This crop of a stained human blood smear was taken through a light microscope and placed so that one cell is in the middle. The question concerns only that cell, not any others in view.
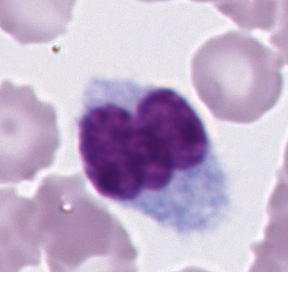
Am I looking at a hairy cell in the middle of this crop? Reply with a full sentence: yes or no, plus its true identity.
Yes, the cell in the centre is a hairy cell.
